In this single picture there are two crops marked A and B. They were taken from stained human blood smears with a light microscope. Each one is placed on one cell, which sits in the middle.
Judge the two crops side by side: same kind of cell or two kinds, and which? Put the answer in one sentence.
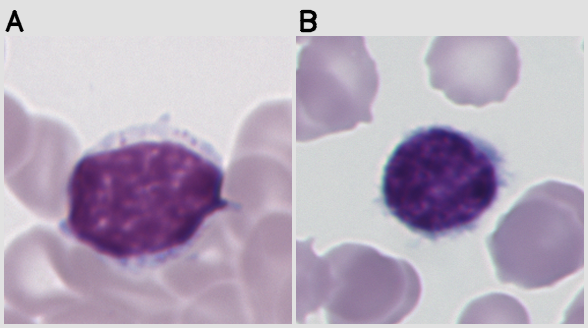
No, what crop A shows is a large granular lymphocyte, and what crop B shows is a hairy cell.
